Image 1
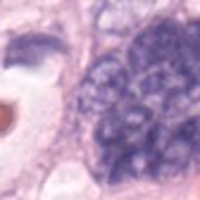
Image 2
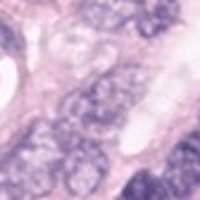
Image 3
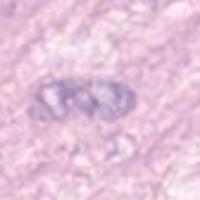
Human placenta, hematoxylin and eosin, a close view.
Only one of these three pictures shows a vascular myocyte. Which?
Picture 3.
